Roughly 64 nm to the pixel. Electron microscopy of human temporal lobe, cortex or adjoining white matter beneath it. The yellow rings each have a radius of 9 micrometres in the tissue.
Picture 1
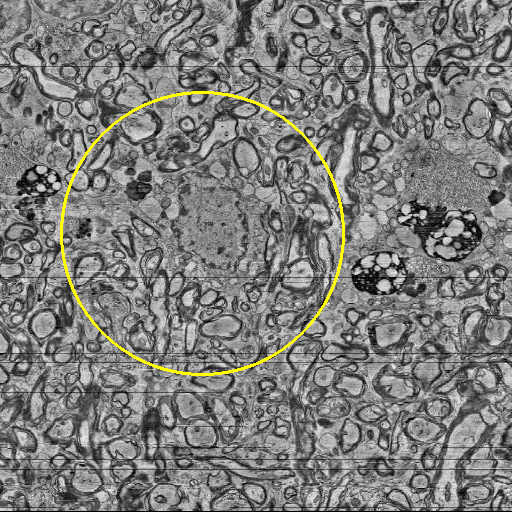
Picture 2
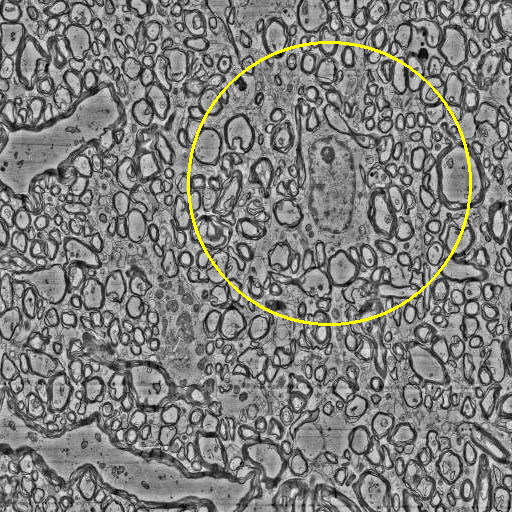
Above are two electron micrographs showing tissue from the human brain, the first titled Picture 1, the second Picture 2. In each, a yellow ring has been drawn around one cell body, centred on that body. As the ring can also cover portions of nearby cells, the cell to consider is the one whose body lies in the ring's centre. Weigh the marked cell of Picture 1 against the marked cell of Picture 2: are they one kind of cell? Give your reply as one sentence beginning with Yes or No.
Yes, the two cells sitting at the ring centres in the pictures are of one kind.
